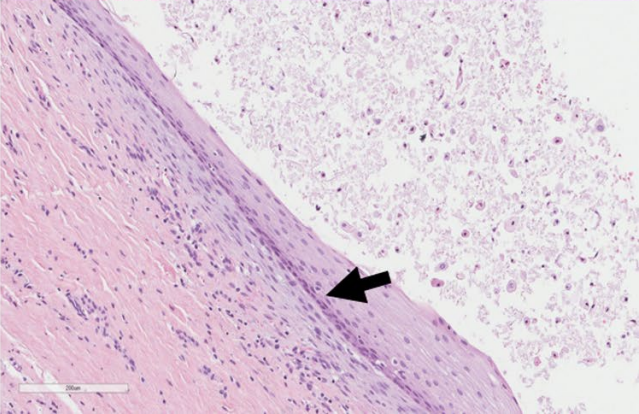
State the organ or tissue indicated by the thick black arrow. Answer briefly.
squamous epithelium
